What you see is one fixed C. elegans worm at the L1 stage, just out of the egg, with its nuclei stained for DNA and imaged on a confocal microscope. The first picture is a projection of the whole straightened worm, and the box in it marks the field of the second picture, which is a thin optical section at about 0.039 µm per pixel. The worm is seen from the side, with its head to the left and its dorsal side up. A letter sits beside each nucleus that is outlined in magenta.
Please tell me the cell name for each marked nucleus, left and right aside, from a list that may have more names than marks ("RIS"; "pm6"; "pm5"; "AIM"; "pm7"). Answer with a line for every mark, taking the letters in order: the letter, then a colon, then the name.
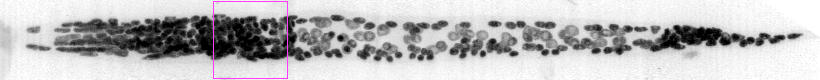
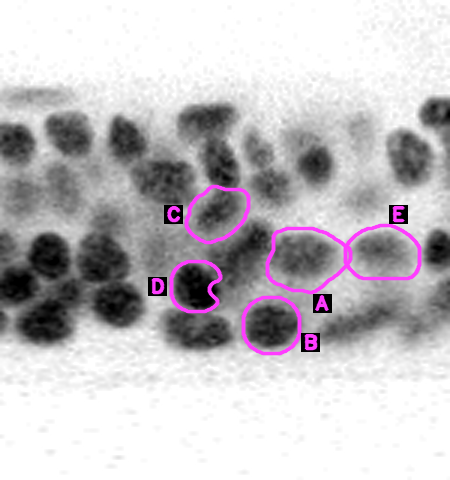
A: pm6
B: RIS
C: pm5
D: AIM
E: pm7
